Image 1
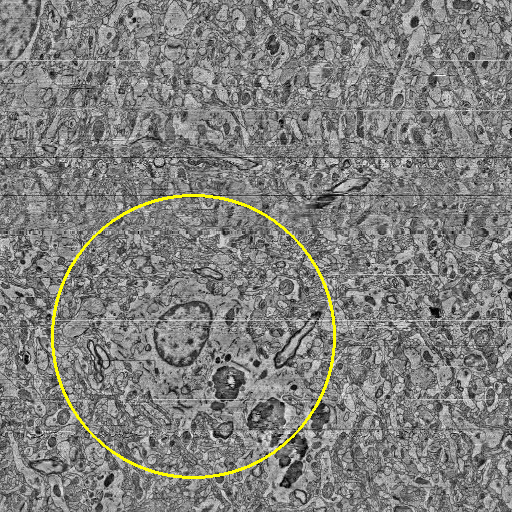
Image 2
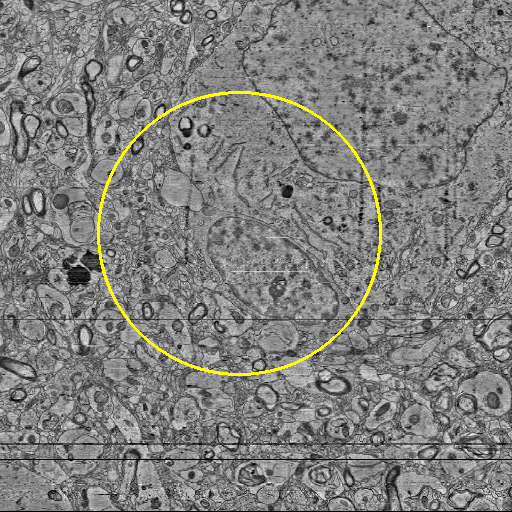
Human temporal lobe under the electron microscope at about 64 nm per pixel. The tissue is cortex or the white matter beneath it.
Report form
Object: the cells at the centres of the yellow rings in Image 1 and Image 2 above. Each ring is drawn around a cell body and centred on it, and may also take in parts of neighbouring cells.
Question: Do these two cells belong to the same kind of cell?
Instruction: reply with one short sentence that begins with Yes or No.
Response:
No, they belong to two kinds of cell.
